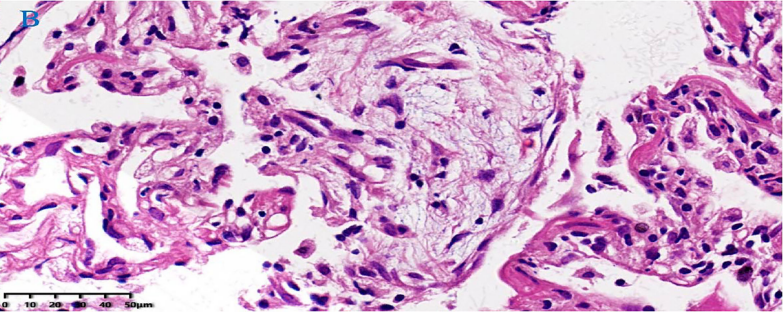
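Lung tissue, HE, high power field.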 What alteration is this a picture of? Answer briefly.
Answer: fibroblastic proliferation filling airspaces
